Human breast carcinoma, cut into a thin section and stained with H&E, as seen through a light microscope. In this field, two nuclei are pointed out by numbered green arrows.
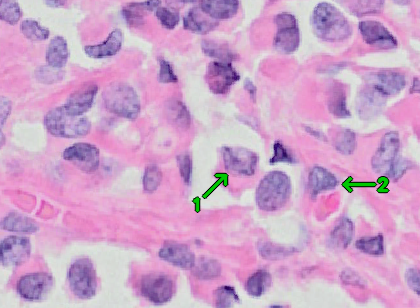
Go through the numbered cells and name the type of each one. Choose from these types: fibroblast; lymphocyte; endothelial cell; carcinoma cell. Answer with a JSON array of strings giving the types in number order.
["carcinoma cell", "endothelial cell"]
